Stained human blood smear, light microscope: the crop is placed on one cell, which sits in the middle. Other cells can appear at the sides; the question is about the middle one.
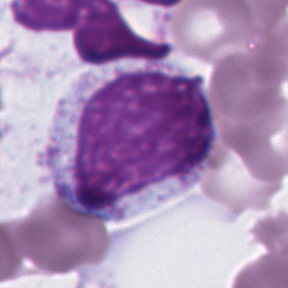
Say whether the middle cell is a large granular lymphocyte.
no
